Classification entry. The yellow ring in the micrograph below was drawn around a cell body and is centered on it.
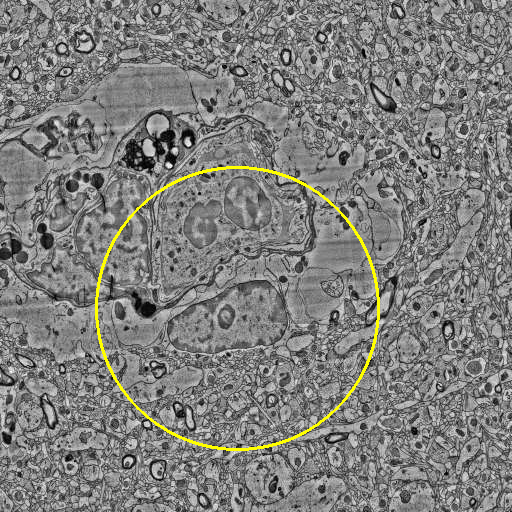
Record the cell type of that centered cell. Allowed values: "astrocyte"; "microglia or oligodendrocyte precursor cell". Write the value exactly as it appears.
microglia or oligodendrocyte precursor cell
